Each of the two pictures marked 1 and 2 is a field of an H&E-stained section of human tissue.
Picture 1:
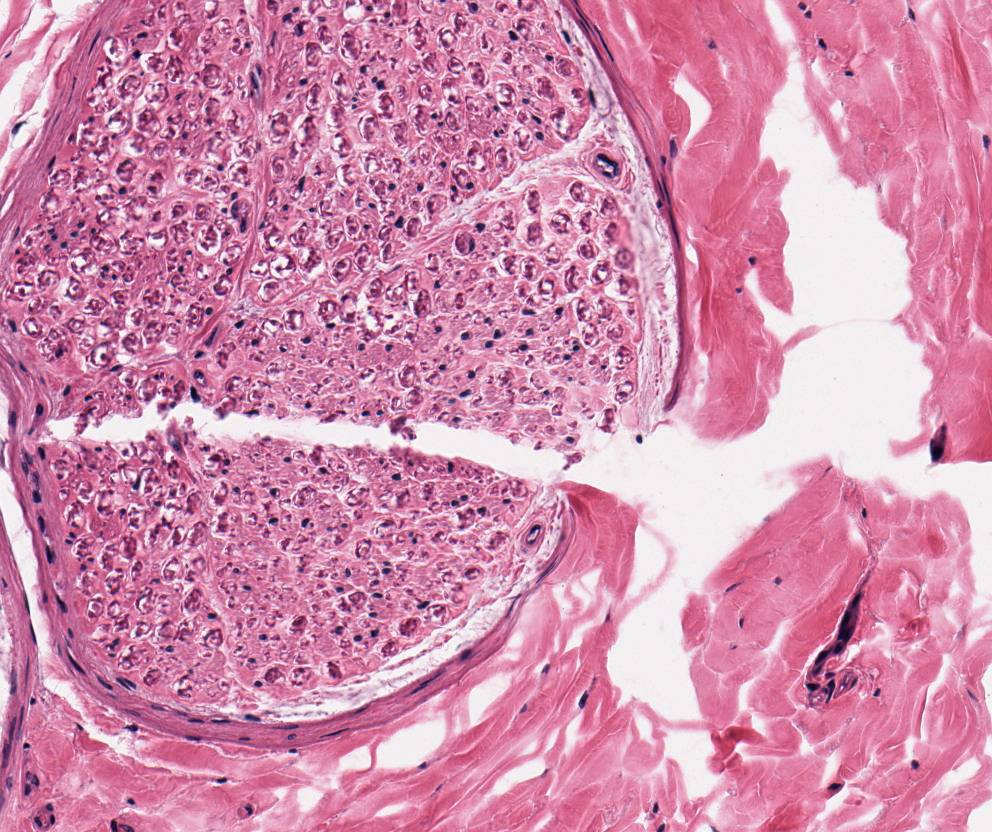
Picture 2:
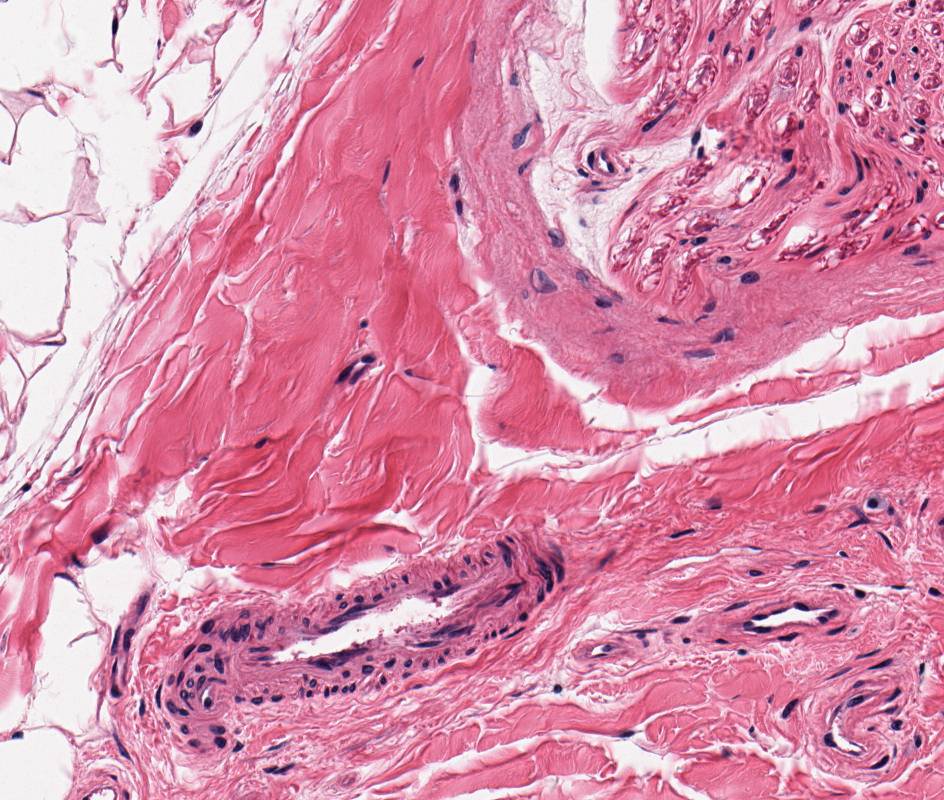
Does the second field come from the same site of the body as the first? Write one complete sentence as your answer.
Yes, the two fields both come from the tibial nerve.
